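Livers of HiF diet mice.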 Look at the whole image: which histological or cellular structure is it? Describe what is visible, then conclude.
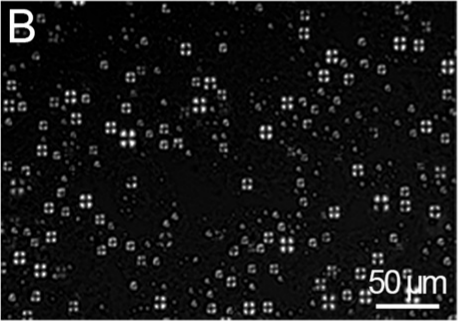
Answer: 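Many small bright round bodies on a dark background. Each bright body is divided by a dark cross into four bright quadrants. That points to this answer: Maltese cross.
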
